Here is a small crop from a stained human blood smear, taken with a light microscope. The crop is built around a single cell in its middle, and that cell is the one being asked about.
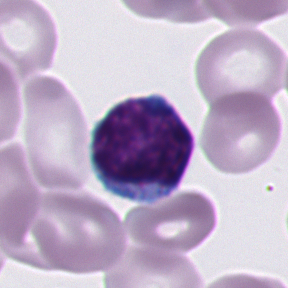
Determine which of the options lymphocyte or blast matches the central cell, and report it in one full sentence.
At the crop's centre, the cell is a lymphocyte.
